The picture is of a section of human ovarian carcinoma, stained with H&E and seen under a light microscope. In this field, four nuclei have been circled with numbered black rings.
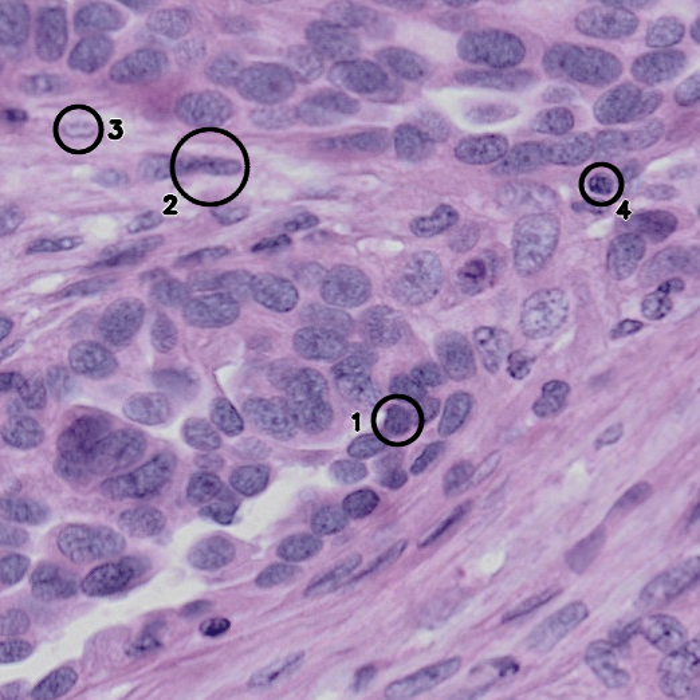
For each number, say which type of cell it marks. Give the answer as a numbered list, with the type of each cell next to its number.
1. carcinoma cell
2. fibroblast
3. fibroblast
4. lymphocyte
